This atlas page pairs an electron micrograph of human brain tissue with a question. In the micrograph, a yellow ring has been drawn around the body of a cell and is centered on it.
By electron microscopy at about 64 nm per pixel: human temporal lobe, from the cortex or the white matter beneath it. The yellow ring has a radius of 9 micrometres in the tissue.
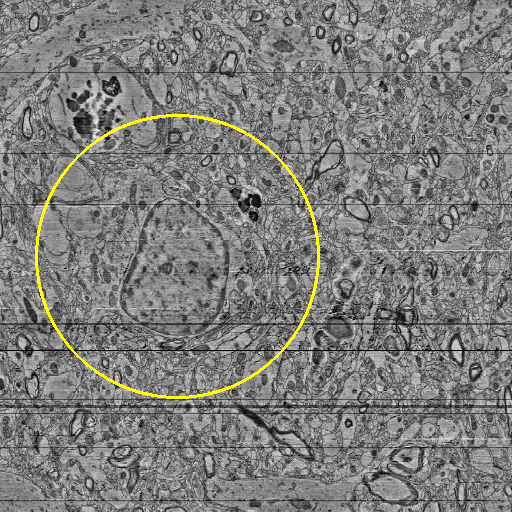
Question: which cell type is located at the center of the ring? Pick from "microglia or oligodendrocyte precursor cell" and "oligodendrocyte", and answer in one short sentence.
Located at the center of the ring is a microglial cell or oligodendrocyte precursor cell.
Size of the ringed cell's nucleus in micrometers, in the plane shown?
In this plane, the nucleus of the cell at the centre of the ring measures about 9 by 7 micrometres.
